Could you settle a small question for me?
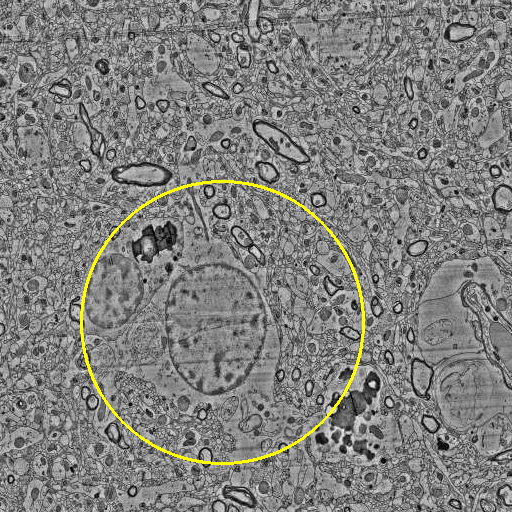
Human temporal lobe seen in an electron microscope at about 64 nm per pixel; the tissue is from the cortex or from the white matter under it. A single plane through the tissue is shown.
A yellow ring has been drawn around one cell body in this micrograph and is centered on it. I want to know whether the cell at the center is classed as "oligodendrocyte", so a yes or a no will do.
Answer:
no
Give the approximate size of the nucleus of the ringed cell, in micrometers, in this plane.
About 8 by 7 micrometers, in this plane.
